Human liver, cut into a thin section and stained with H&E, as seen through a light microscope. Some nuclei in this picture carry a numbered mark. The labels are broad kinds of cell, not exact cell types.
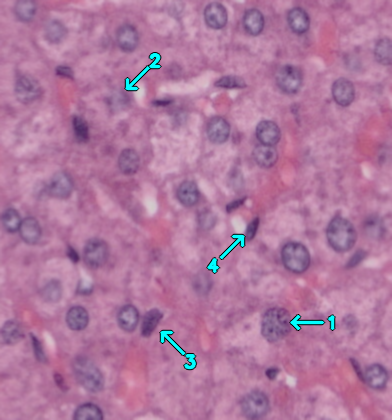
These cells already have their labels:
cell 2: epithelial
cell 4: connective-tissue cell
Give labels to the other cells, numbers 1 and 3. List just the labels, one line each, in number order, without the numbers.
epithelial
connective-tissue cell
